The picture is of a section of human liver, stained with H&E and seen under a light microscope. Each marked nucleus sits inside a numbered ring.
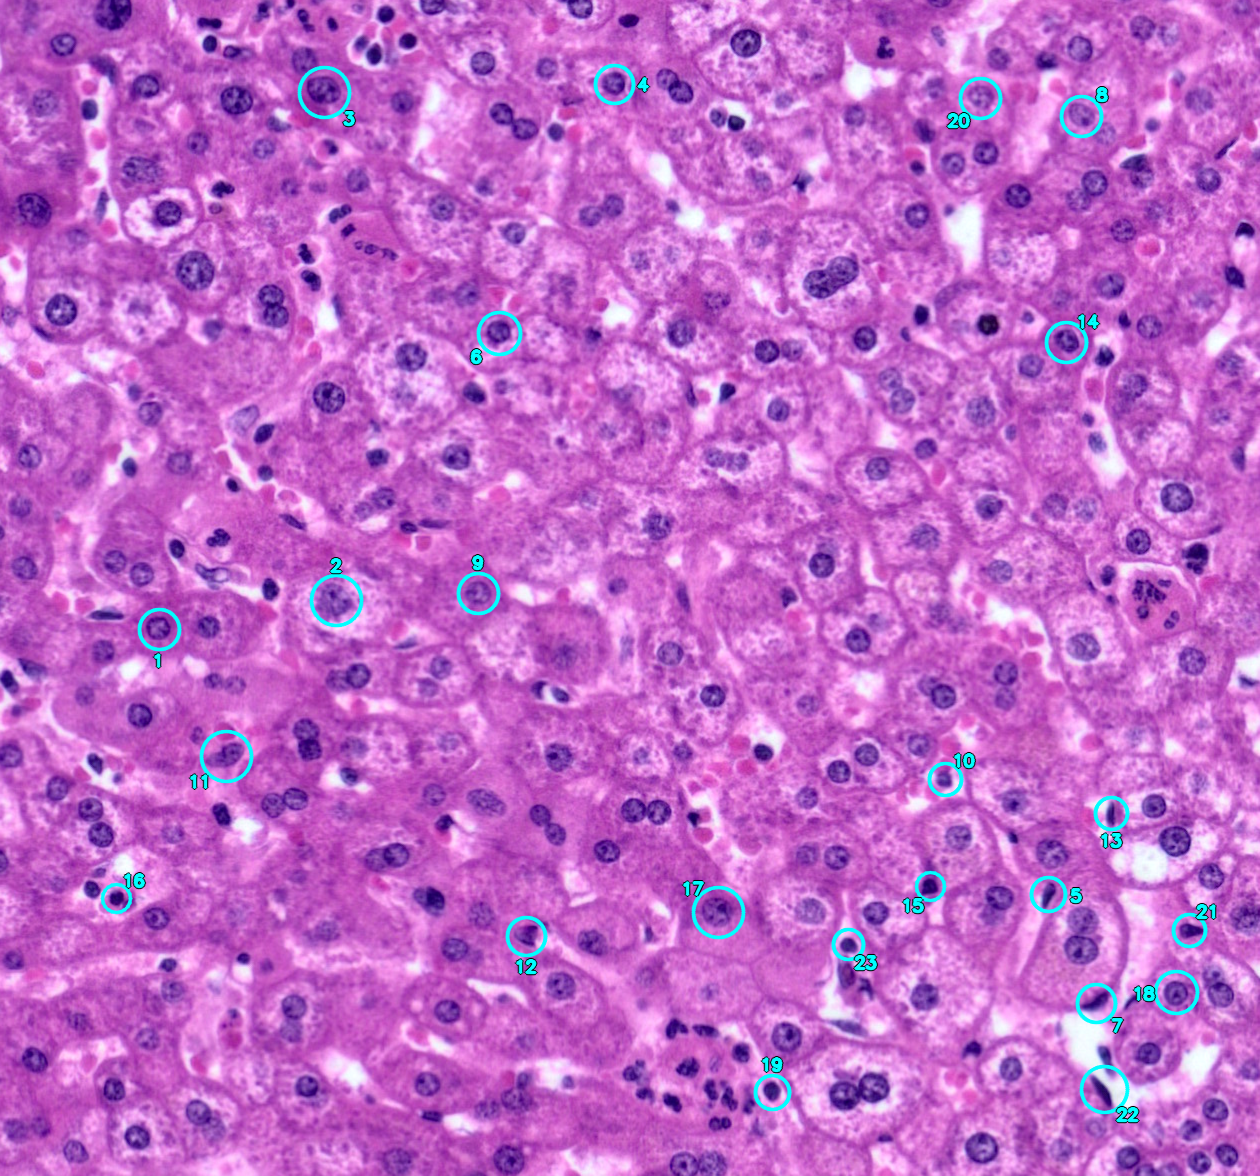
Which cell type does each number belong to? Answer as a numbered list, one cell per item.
1. hepatocyte
2. hepatocyte
3. hepatocyte
4. hepatocyte
5. endothelial cell
6. hepatocyte
7. fibroblast or stellate cell
8. hepatocyte
9. hepatocyte
10. lymphocyte
11. Kupffer cell
12. endothelial cell
13. endothelial cell
14. hepatocyte
15. fibroblast or stellate cell
16. lymphocyte
17. hepatocyte
18. hepatocyte
19. lymphocyte
20. hepatocyte
21. fibroblast or stellate cell
22. endothelial cell
23. lymphocyte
